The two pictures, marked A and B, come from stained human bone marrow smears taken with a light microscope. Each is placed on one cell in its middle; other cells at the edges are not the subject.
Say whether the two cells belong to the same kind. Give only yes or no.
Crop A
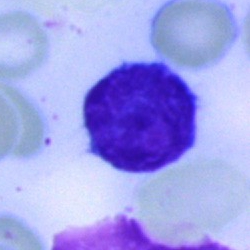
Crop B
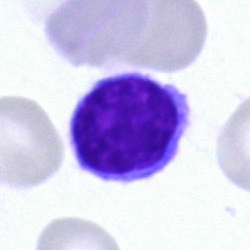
yes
